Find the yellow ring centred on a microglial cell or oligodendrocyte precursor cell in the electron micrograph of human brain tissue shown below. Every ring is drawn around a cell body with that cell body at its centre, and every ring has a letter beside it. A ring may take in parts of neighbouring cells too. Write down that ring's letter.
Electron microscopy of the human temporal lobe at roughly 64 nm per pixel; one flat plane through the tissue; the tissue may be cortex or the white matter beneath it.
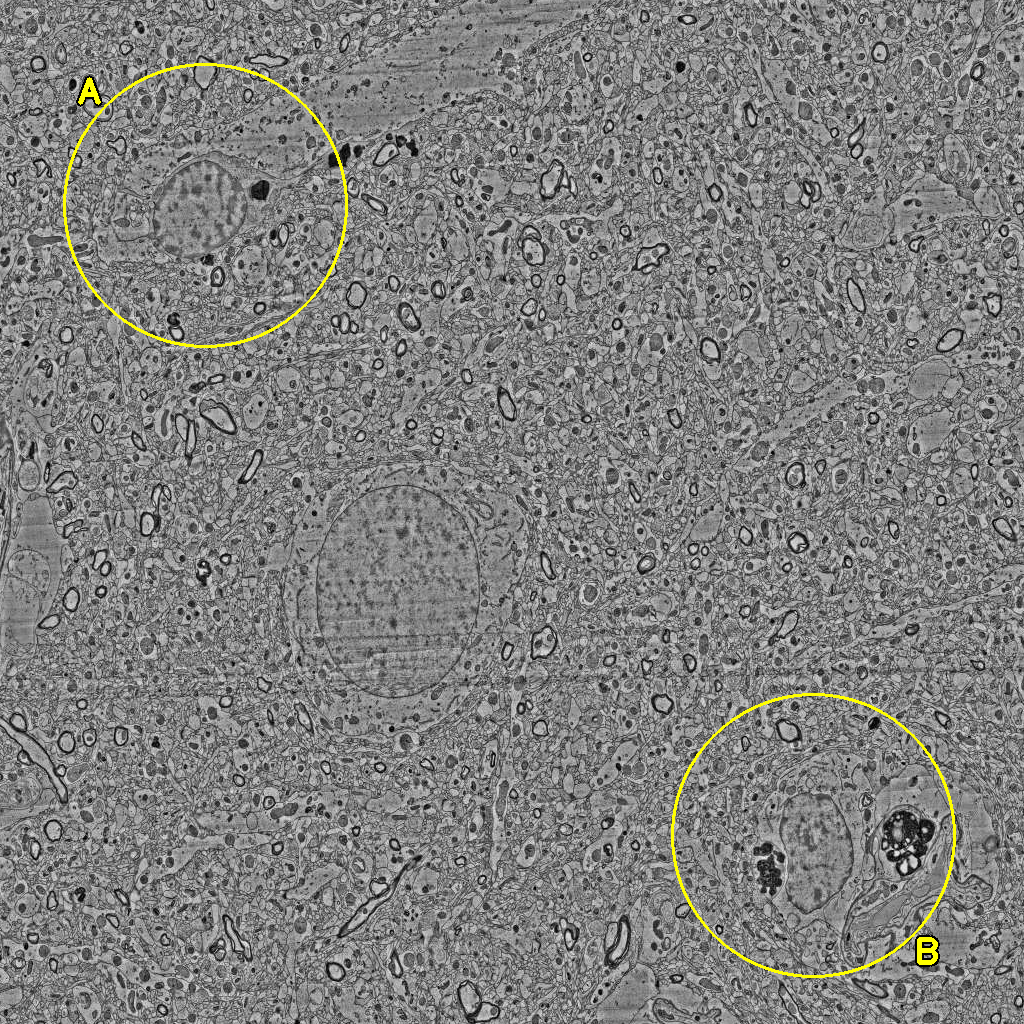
B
